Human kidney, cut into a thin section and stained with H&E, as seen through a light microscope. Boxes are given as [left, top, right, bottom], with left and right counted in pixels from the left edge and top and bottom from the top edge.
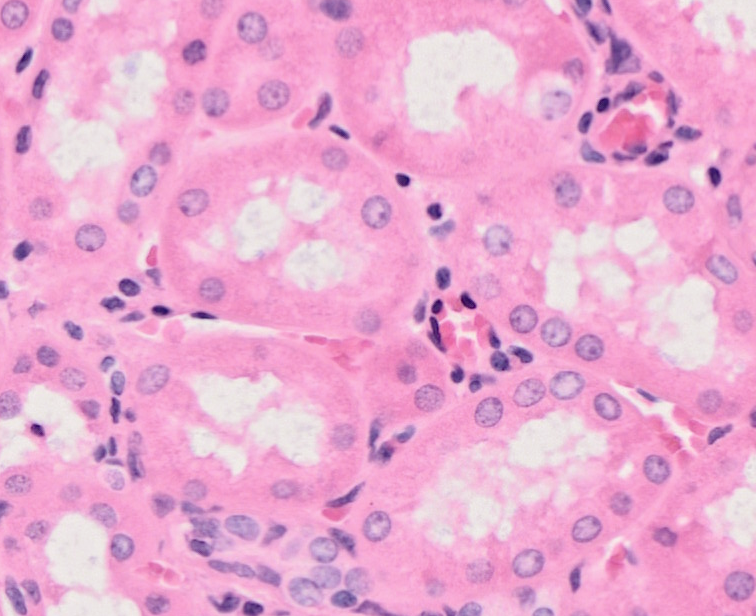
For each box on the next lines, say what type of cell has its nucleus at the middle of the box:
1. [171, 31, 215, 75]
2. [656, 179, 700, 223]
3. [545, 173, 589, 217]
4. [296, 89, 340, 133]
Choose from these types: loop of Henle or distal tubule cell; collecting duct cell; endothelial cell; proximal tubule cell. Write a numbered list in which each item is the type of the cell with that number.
1. proximal tubule cell
2. proximal tubule cell
3. proximal tubule cell
4. endothelial cell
